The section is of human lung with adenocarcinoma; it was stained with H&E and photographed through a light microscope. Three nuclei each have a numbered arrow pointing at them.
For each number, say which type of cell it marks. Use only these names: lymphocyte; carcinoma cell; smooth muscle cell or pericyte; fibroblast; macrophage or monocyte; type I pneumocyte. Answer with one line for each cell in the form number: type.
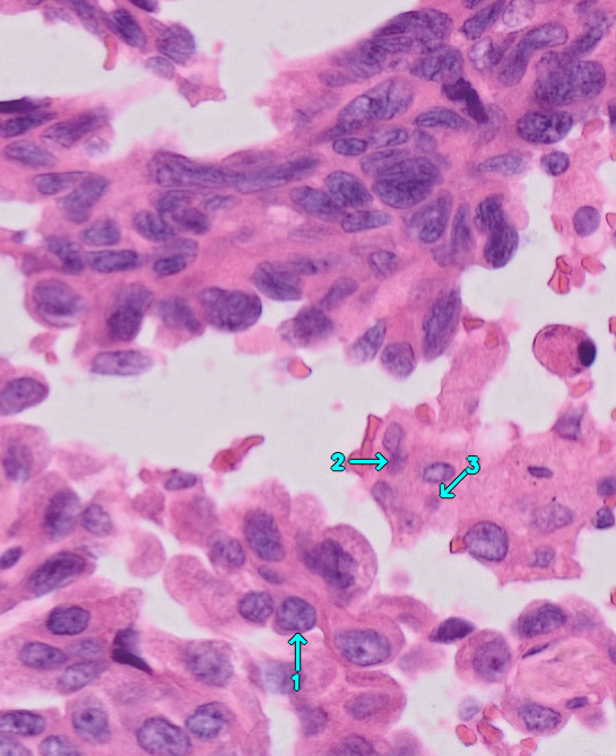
1: carcinoma cell
2: macrophage or monocyte
3: macrophage or monocyte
